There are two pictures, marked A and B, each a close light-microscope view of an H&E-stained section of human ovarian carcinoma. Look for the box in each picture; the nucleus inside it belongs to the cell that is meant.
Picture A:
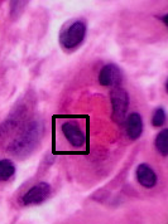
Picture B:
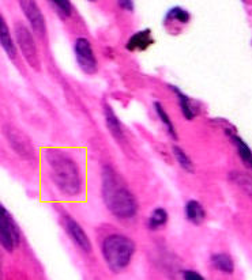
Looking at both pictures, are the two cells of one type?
no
